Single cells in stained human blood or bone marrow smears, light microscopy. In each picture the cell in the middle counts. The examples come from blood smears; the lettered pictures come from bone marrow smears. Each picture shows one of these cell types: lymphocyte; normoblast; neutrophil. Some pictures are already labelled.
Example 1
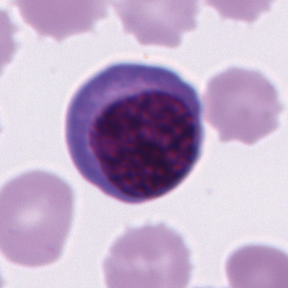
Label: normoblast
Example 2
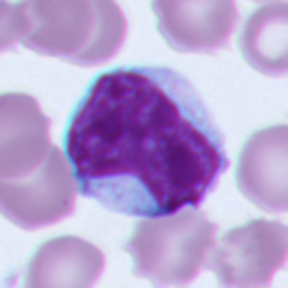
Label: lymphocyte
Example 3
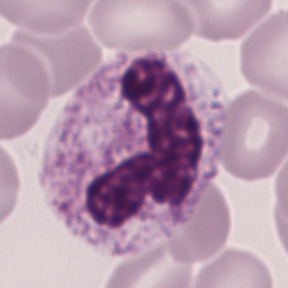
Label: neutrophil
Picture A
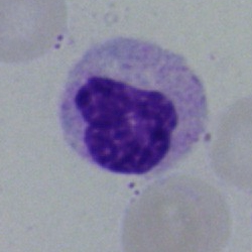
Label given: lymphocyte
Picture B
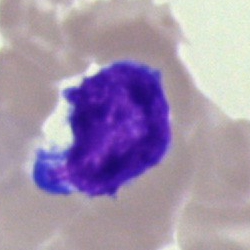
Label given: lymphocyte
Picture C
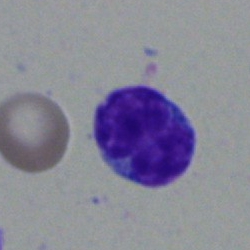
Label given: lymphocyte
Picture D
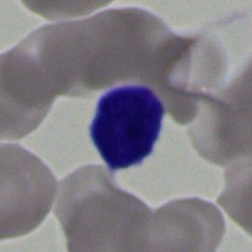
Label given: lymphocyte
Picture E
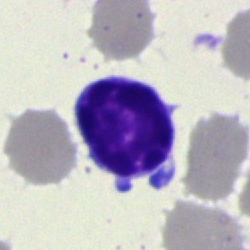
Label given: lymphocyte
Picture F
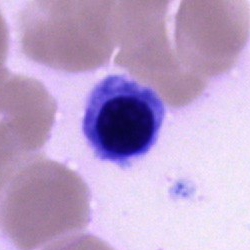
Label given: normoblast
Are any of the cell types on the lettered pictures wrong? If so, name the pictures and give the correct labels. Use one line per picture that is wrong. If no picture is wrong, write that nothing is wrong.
A: neutrophil, not lymphocyte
